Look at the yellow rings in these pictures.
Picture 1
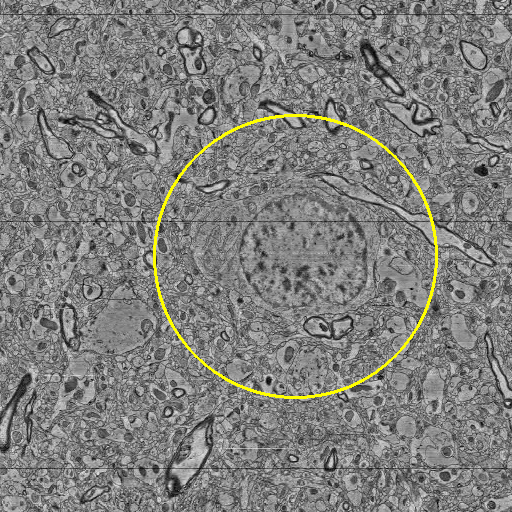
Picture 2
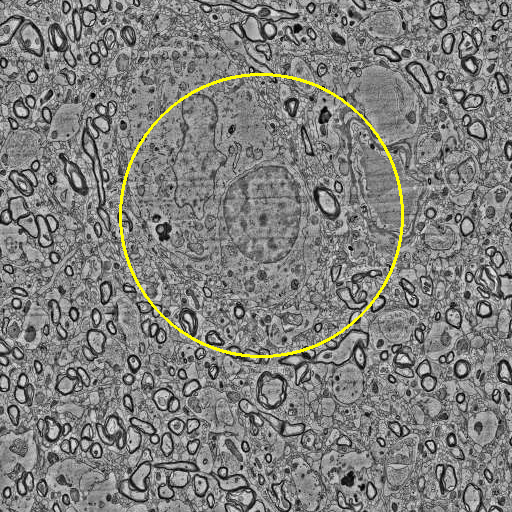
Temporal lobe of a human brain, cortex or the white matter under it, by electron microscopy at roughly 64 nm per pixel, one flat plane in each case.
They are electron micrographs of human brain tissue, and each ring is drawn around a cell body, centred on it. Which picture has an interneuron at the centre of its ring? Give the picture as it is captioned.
Picture 1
